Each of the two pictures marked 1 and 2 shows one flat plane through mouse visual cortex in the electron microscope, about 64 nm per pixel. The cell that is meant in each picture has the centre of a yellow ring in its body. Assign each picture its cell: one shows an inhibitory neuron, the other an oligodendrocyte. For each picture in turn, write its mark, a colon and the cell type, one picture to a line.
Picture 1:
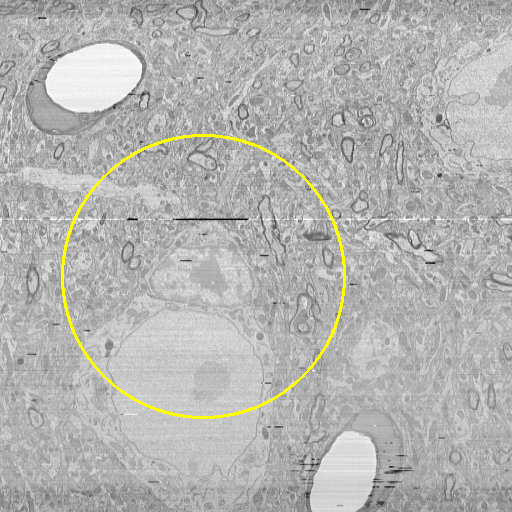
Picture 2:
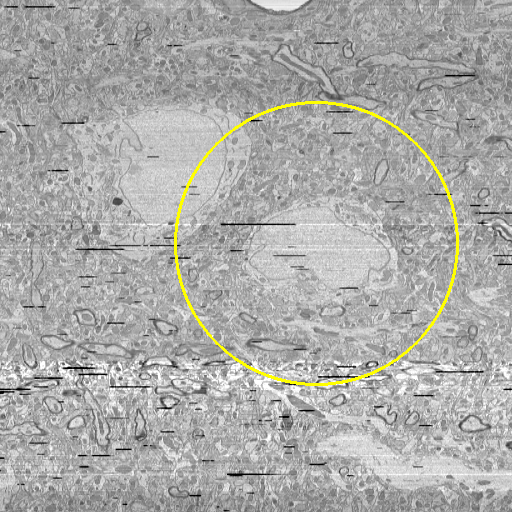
1: oligodendrocyte
2: inhibitory neuron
